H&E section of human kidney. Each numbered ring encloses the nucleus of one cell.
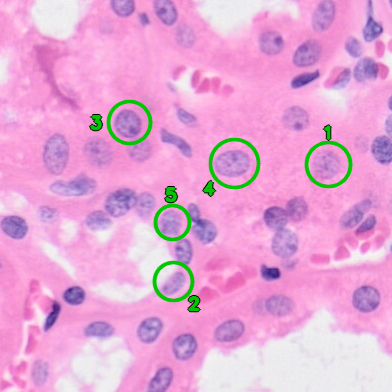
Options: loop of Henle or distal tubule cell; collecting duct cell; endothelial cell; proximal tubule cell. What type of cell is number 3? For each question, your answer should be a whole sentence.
The one numbered 3 among the marked cells is a proximal tubule cell.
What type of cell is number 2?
Marked with the number 2, this cell is a collecting duct cell.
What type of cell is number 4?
Cell 4 of the marked set is a proximal tubule cell.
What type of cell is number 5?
Cell 5, among those numbered, is a collecting duct cell.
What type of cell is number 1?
In the tissue shown, cell 1 is a proximal tubule cell.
